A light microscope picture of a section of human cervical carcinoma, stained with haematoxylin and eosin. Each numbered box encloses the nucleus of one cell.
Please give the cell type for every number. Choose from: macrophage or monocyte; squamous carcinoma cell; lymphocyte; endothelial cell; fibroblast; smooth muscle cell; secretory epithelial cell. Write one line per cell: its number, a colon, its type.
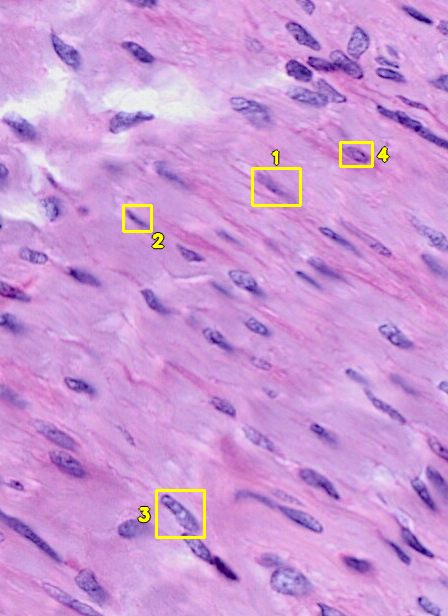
1: smooth muscle cell
2: fibroblast
3: fibroblast
4: smooth muscle cell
